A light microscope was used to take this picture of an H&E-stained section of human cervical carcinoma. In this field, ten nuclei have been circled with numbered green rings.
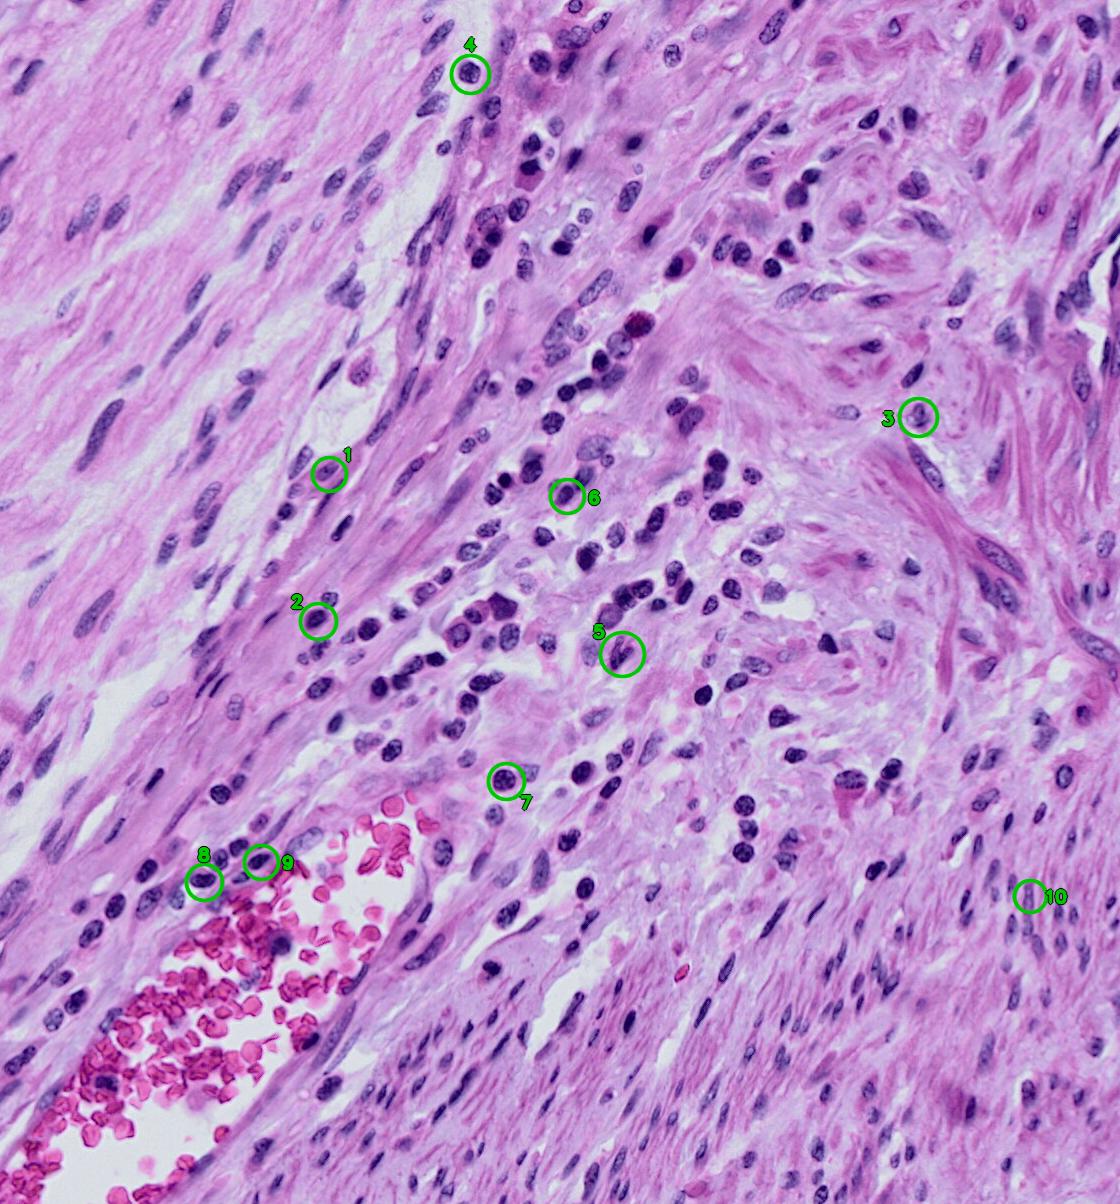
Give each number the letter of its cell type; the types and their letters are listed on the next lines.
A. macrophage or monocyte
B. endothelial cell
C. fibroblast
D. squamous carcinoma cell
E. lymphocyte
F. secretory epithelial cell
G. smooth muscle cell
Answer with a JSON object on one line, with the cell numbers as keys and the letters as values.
{"1": "B", "2": "E", "3": "A", "4": "E", "5": "A", "6": "E", "7": "E", "8": "E", "9": "E", "10": "G"}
